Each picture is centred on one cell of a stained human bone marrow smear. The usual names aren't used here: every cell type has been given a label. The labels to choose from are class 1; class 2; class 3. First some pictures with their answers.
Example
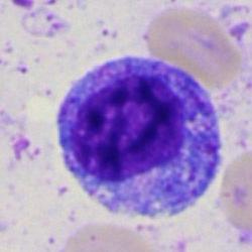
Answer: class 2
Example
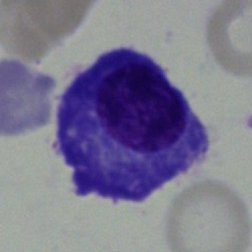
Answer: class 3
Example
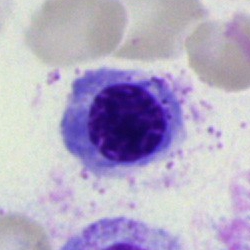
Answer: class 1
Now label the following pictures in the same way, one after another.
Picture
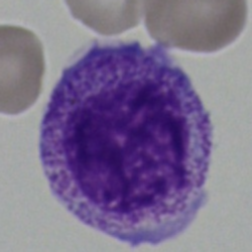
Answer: class 2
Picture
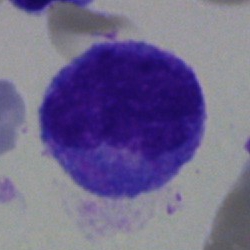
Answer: class 2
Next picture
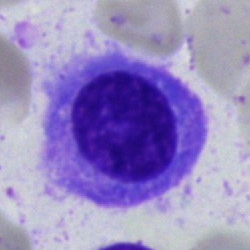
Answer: class 3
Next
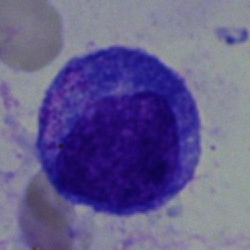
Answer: class 2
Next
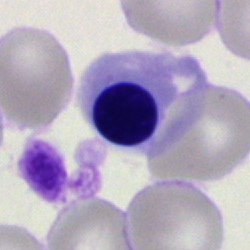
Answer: class 1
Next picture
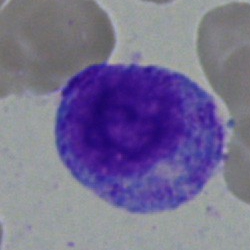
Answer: class 2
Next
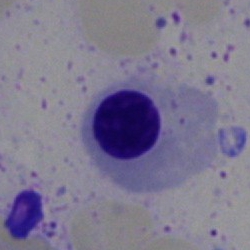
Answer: class 1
